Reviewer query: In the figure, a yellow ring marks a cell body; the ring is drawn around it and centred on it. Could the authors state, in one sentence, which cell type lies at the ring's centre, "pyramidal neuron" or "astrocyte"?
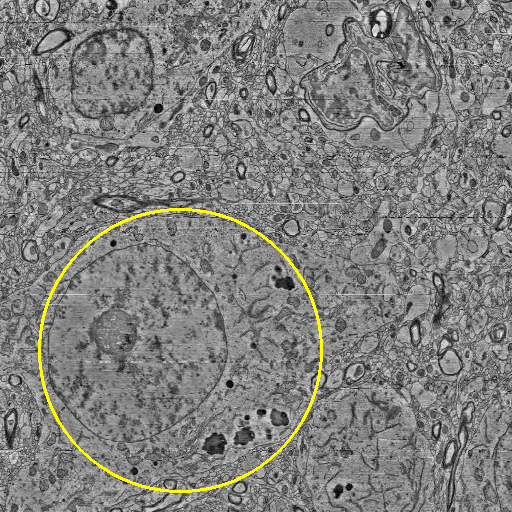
The ring is centred on a pyramidal neuron.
